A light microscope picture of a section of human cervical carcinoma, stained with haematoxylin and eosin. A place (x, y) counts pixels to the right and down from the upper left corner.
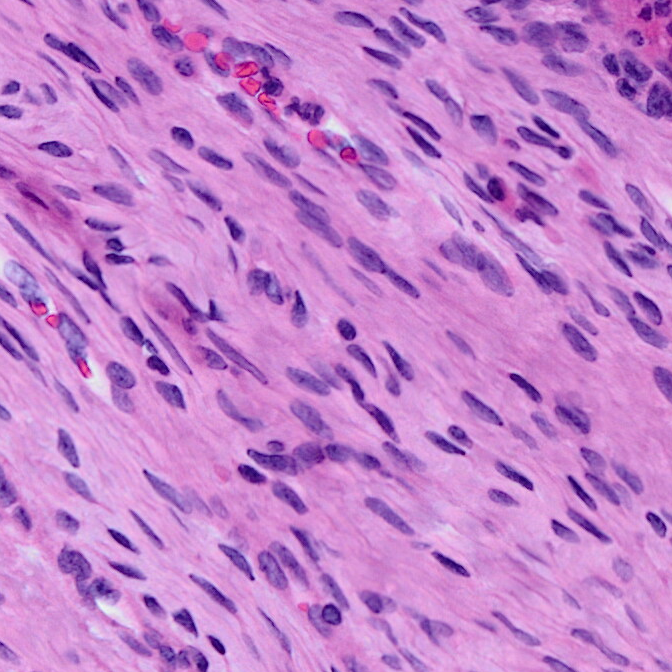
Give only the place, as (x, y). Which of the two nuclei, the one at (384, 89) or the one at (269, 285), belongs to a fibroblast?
(384, 89)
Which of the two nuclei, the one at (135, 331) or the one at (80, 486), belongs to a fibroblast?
(135, 331)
